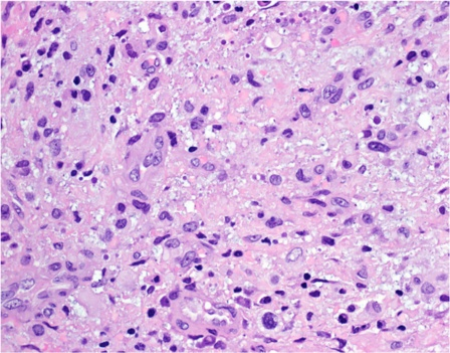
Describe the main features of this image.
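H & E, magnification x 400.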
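Loosely scattered plump cells, polygonal to somewhat spindled, lie in a pale pink, finely vacuolated background. Their cytoplasm is ample and pink to faintly purple, with poorly defined borders. The nuclei are oval to irregular and vary in how they look. Some are pale, with open chromatin and small nucleoli. Others are smaller, dark and dense. Small, very dark nuclei are also scattered among the larger cells. The cells do not form glands or orderly layers. They lie singly and in loose groups. Overall this is a cellular infiltrate of large cells whose nuclei range from vesicular to hyperchromatic, set in abundant eosinophilic to lightly basophilic cytoplasm.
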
